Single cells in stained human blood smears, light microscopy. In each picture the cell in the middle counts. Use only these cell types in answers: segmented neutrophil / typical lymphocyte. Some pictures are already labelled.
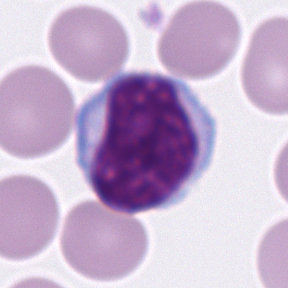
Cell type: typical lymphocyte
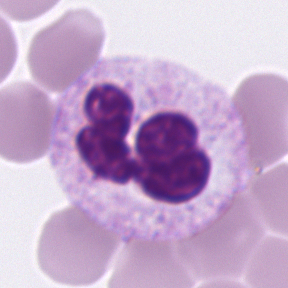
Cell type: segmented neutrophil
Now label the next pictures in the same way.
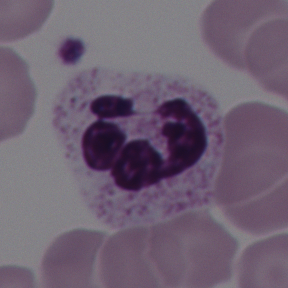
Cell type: segmented neutrophil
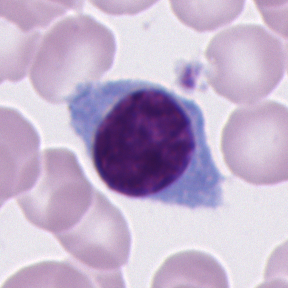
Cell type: typical lymphocyte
